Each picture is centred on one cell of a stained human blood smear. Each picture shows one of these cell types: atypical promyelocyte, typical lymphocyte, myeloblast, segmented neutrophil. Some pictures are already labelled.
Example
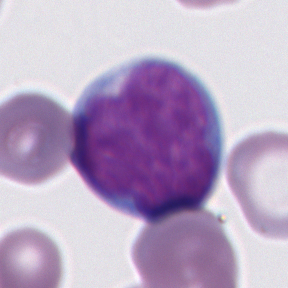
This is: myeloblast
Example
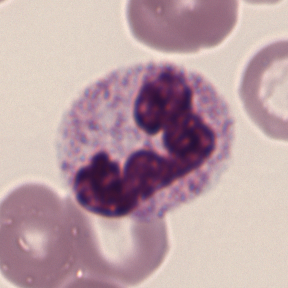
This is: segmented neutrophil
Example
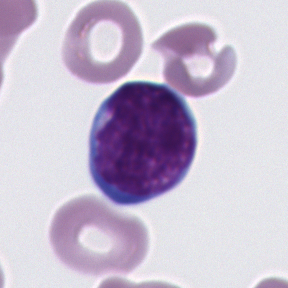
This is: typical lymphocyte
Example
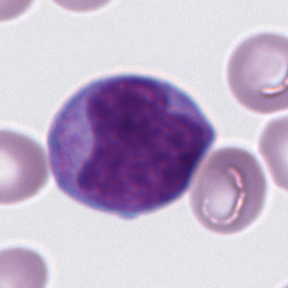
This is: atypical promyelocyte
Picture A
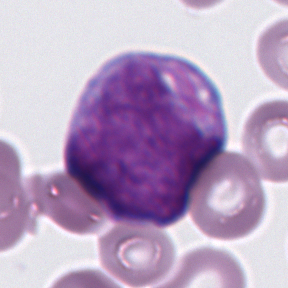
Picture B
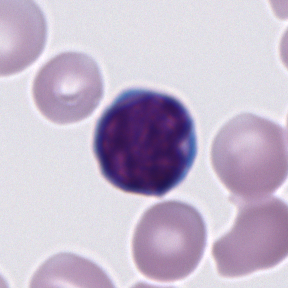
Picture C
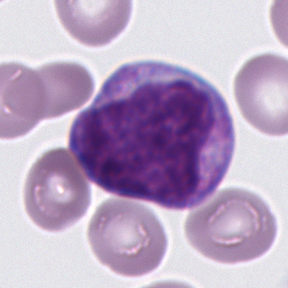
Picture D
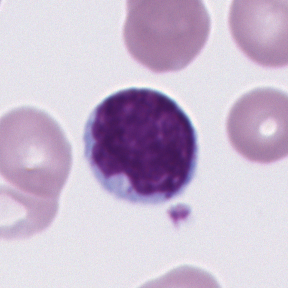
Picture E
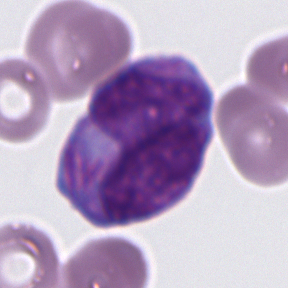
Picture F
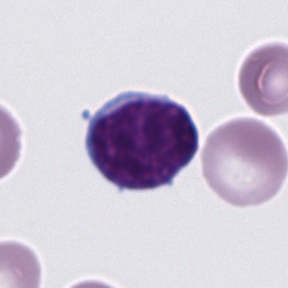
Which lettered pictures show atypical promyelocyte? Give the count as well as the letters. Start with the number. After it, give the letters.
Count: 3 (A, C, E)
